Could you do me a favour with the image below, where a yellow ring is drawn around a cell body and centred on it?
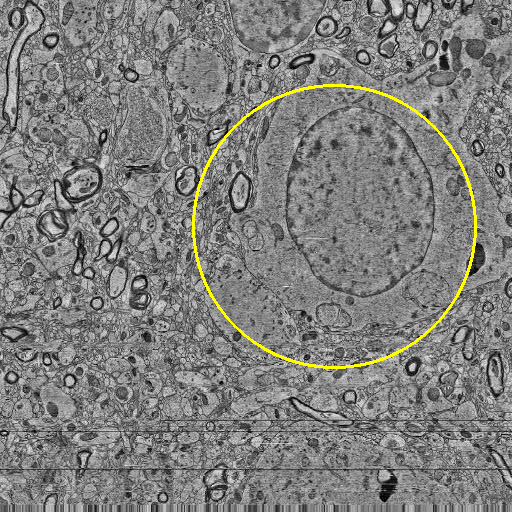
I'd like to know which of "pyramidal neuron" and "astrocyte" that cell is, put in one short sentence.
The cell at the ring's centre is an astrocyte.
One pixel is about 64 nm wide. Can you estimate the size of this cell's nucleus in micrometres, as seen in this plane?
In this plane, the nucleus is roughly 12 by 10 micrometres.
